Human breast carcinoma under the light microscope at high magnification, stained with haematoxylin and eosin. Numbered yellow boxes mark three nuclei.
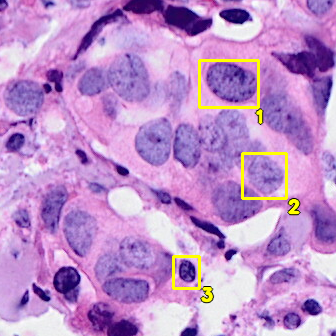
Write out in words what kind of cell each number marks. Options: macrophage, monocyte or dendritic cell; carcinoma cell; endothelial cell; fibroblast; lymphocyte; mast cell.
Cells 1 and 2 are carcinoma cells. Cell 3 is a lymphocyte.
